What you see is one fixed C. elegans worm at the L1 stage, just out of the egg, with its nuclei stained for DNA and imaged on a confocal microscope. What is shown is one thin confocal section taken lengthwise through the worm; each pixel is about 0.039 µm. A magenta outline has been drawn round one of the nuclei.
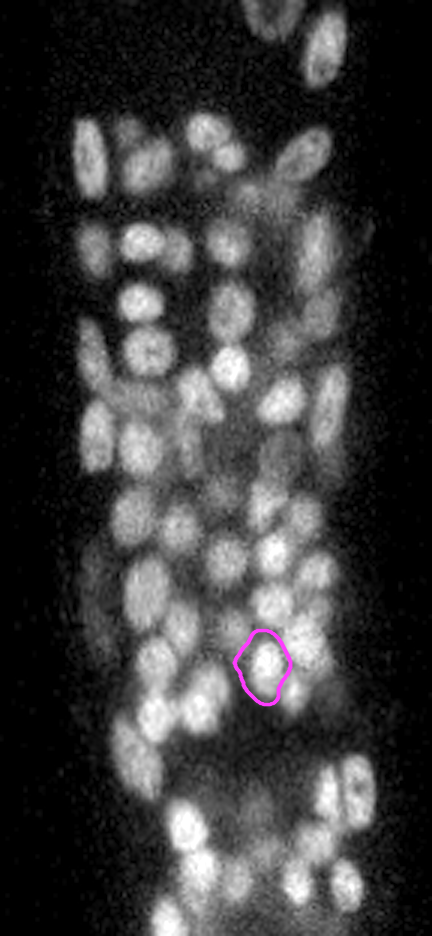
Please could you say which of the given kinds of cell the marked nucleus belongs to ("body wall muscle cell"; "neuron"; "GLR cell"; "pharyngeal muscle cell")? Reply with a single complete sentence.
It belongs to a GLR cell.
